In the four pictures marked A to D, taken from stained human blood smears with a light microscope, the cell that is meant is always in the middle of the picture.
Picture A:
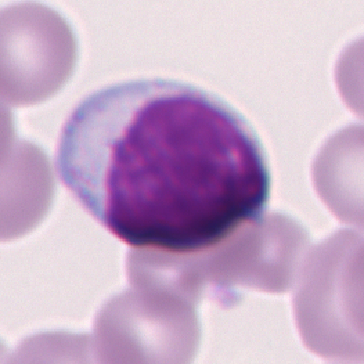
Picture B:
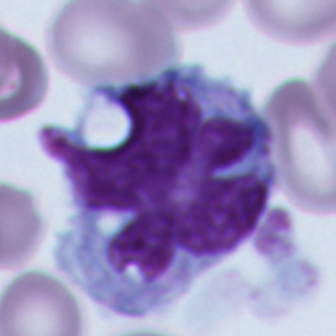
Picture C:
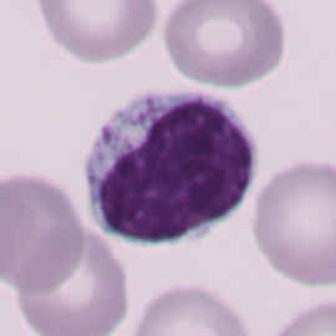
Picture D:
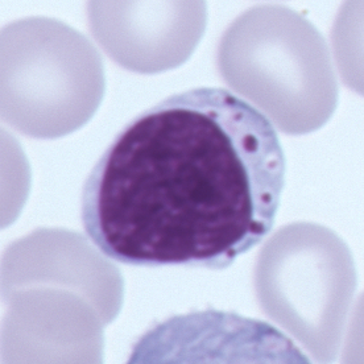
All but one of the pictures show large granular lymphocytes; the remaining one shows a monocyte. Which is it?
B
